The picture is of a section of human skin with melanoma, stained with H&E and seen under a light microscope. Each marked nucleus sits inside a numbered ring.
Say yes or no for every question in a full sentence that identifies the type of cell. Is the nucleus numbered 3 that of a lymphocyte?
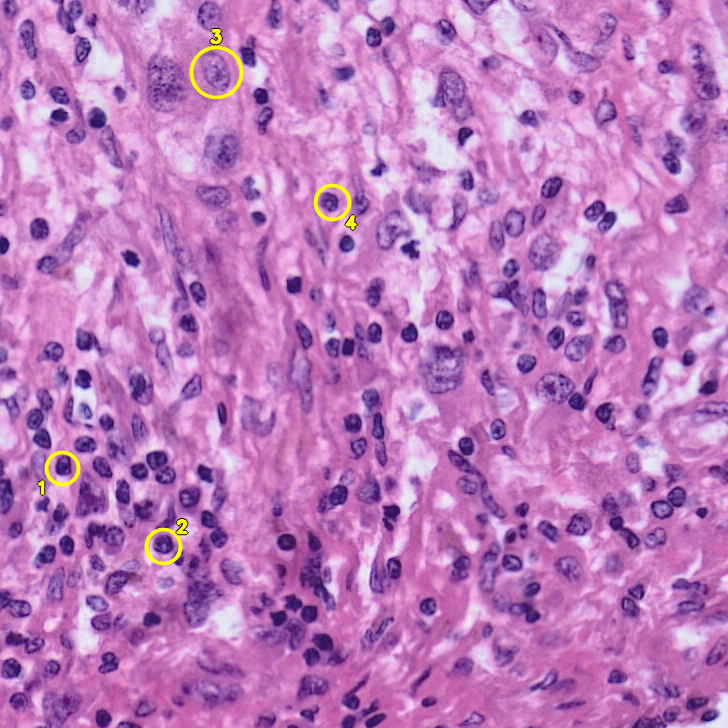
No, the right label for cell 3 is a melanoma cell rather than a lymphocyte.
